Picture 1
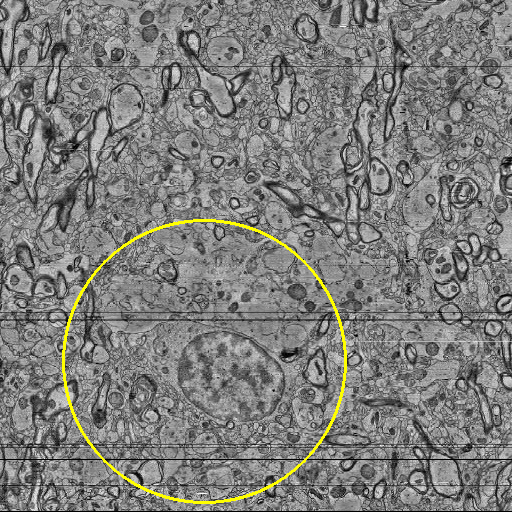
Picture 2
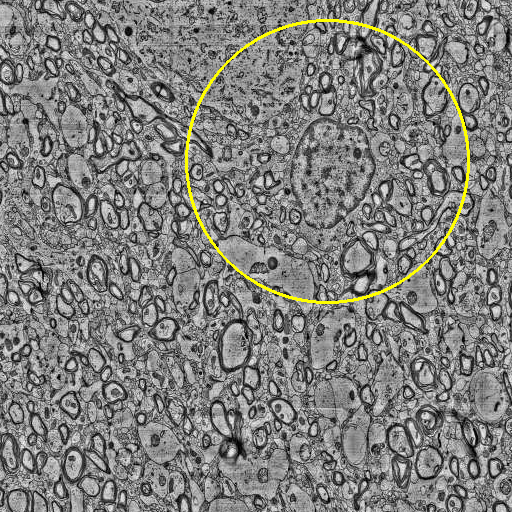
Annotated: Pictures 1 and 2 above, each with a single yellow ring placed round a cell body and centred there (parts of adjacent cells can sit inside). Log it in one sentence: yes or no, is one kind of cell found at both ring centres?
Yes, the ring centres of the two pictures hold cells of one kind.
